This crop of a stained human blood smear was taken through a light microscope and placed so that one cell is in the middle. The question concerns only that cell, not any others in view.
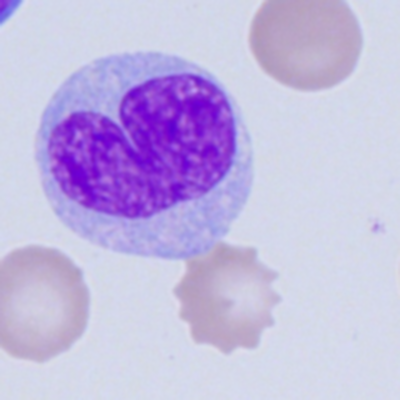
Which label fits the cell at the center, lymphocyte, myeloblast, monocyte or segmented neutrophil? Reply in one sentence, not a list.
The cell at the heart of this crop is a monocyte.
